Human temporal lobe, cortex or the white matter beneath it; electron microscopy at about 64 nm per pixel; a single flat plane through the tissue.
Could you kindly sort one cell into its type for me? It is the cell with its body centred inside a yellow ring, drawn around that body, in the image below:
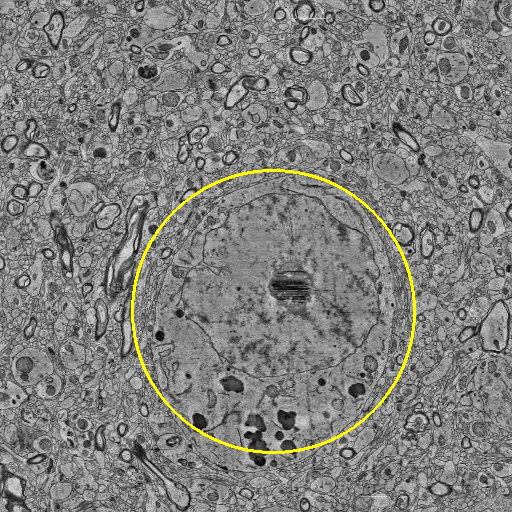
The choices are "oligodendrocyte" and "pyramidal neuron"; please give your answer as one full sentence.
The cell whose body lies centred in the yellow ring here is a pyramidal neuron.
